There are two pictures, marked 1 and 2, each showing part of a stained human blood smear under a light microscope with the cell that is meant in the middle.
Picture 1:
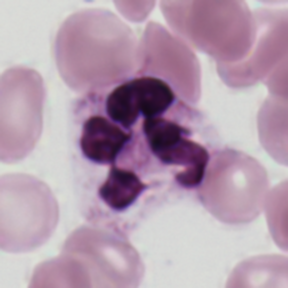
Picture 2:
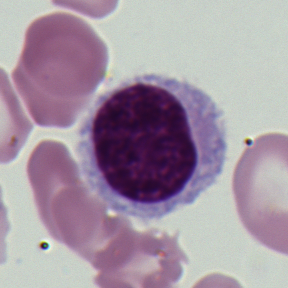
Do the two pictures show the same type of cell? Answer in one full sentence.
No, picture 1 shows a segmented neutrophil and picture 2 shows a hairy cell.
